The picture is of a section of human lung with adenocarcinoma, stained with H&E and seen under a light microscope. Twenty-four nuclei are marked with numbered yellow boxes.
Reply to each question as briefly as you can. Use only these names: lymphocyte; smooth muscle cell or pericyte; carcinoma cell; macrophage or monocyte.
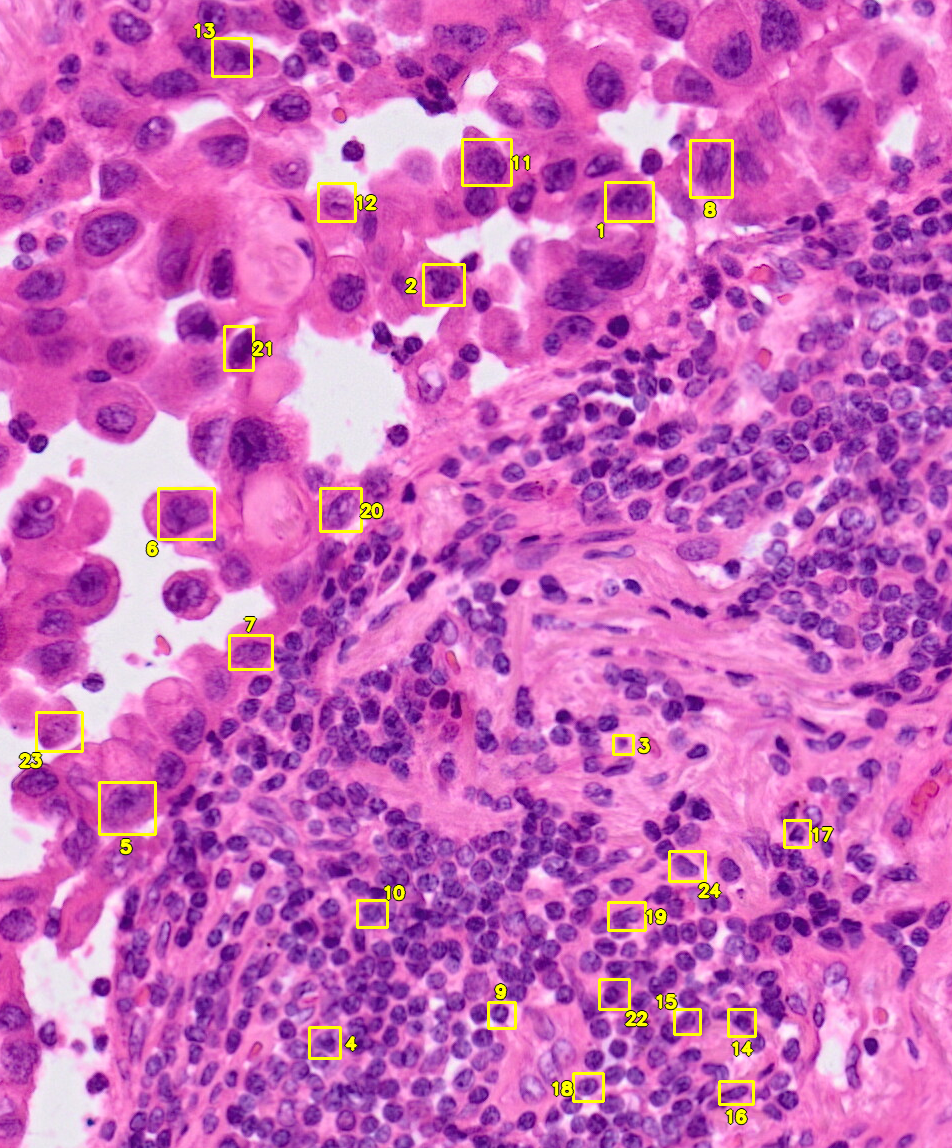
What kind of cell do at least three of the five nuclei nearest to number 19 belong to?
lymphocyte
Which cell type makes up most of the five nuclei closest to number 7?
lymphocyte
